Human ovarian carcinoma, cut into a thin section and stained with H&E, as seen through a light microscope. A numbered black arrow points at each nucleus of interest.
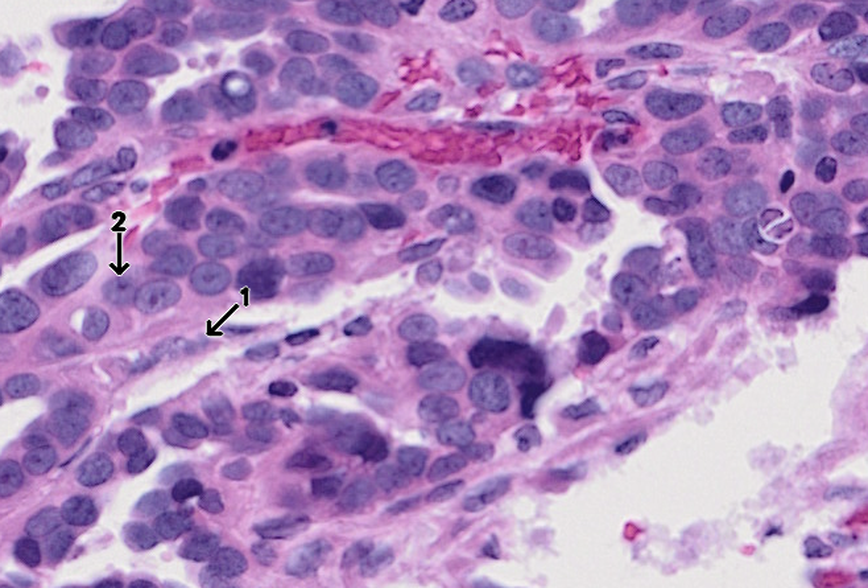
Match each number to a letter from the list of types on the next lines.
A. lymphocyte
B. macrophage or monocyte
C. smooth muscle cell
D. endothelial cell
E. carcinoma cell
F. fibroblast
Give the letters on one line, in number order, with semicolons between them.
F; E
